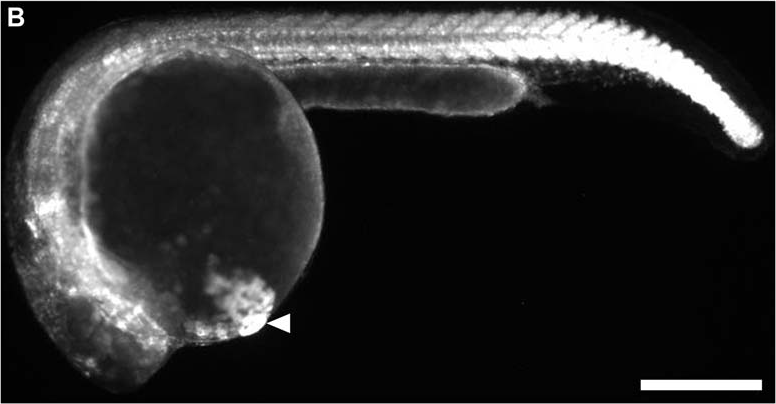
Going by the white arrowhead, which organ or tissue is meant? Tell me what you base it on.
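Hatching gland. A cluster of bright, granular cells lies on the anterior ventral surface of the yolk.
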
